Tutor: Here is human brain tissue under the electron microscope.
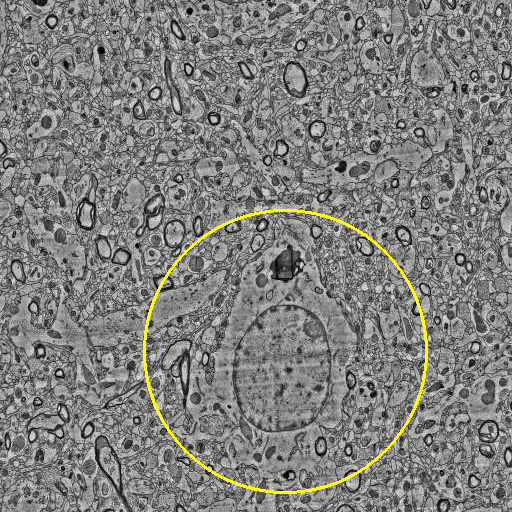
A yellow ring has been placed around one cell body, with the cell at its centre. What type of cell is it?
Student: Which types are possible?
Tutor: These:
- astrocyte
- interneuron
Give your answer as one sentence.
What the ring picks out here is an astrocyte.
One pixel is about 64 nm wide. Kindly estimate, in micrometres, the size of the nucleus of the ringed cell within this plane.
The ringed cell's nucleus is about 8 micrometres long and 7 micrometres wide in this plane.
